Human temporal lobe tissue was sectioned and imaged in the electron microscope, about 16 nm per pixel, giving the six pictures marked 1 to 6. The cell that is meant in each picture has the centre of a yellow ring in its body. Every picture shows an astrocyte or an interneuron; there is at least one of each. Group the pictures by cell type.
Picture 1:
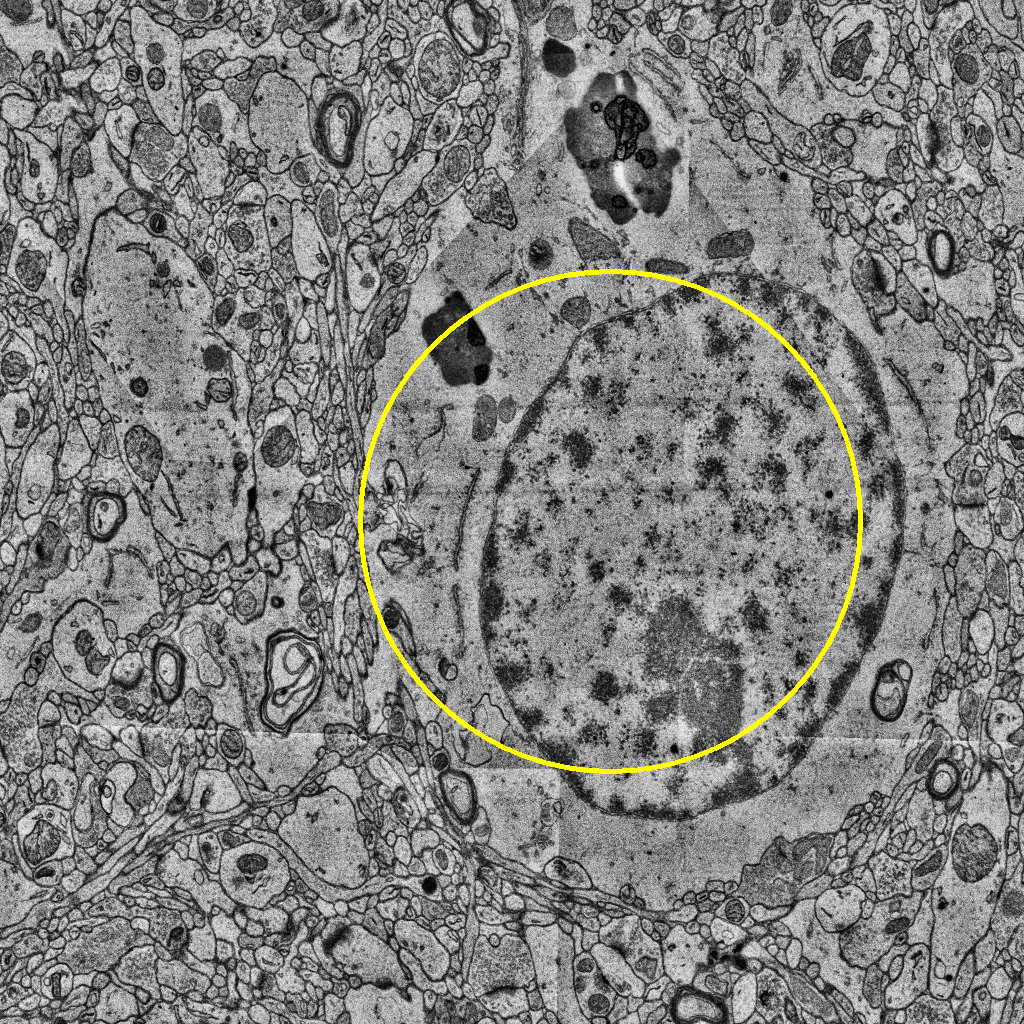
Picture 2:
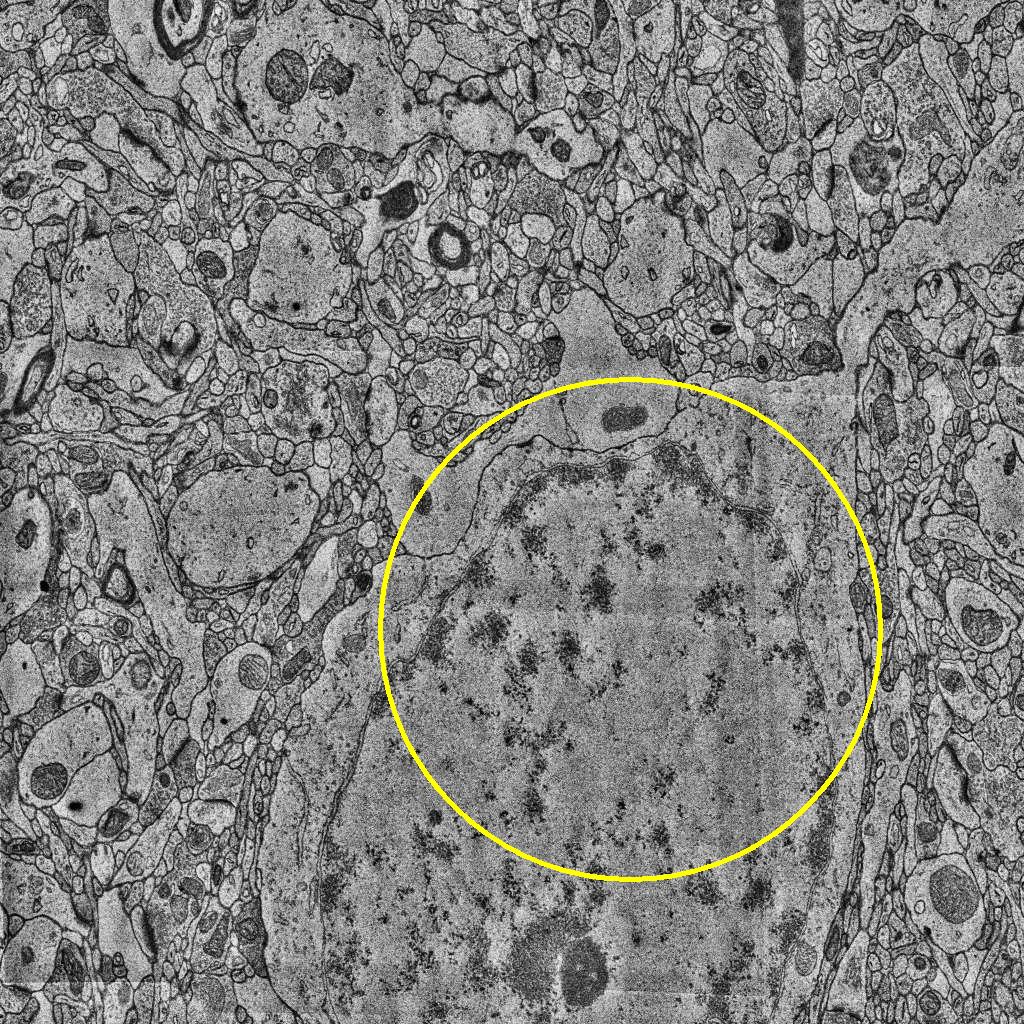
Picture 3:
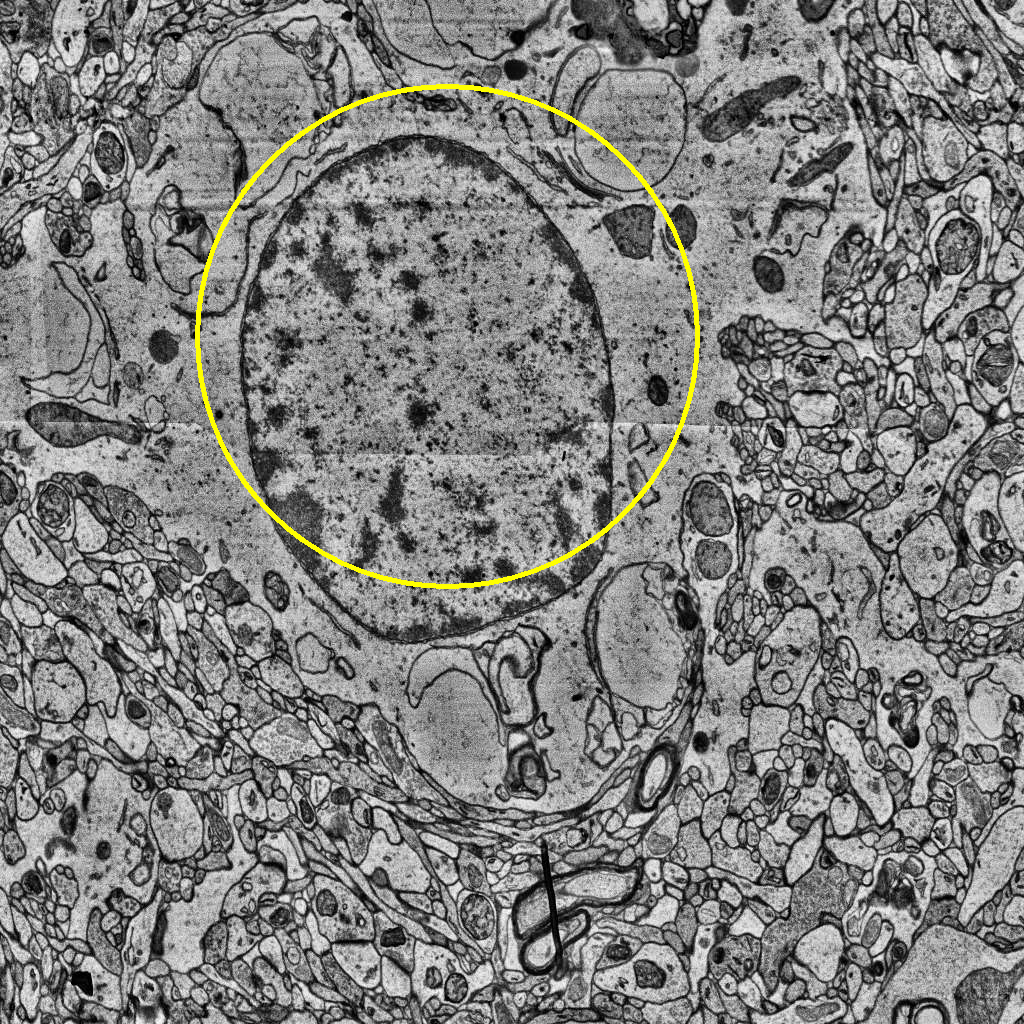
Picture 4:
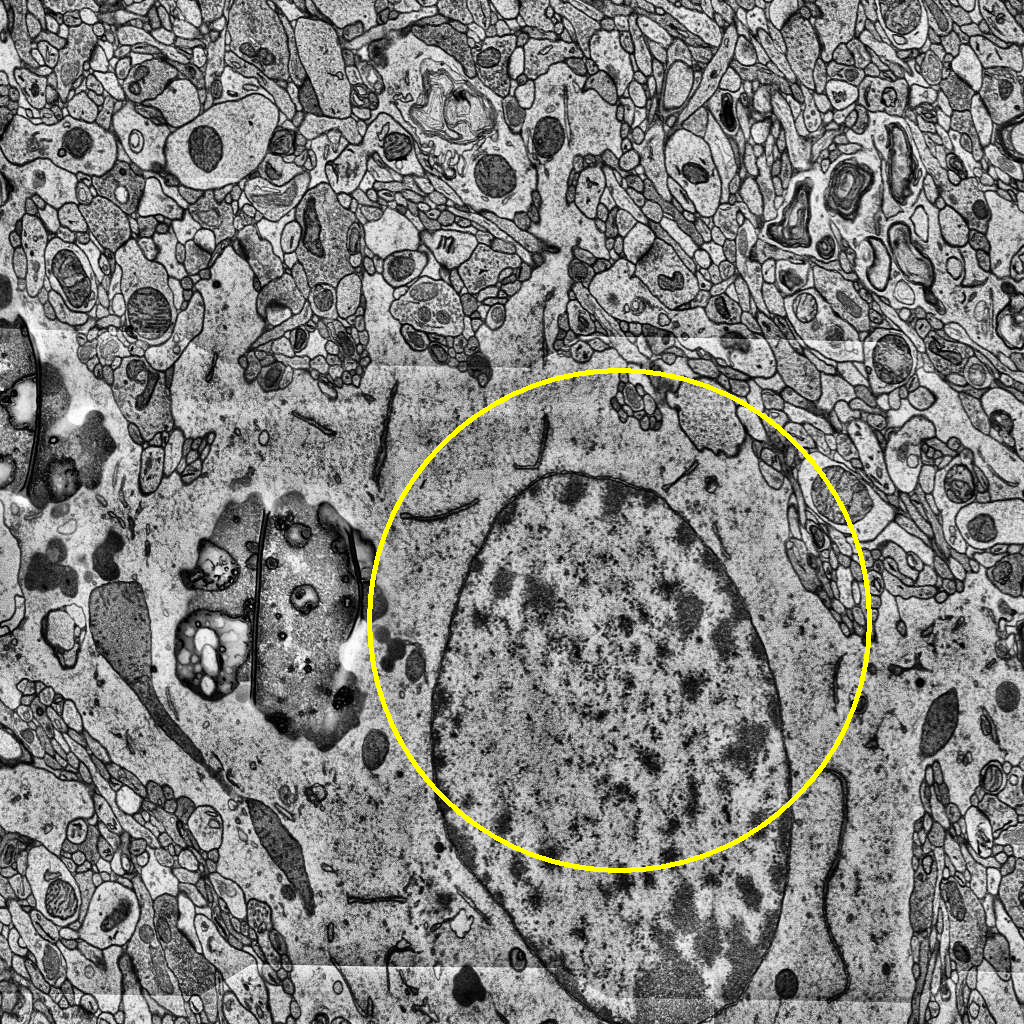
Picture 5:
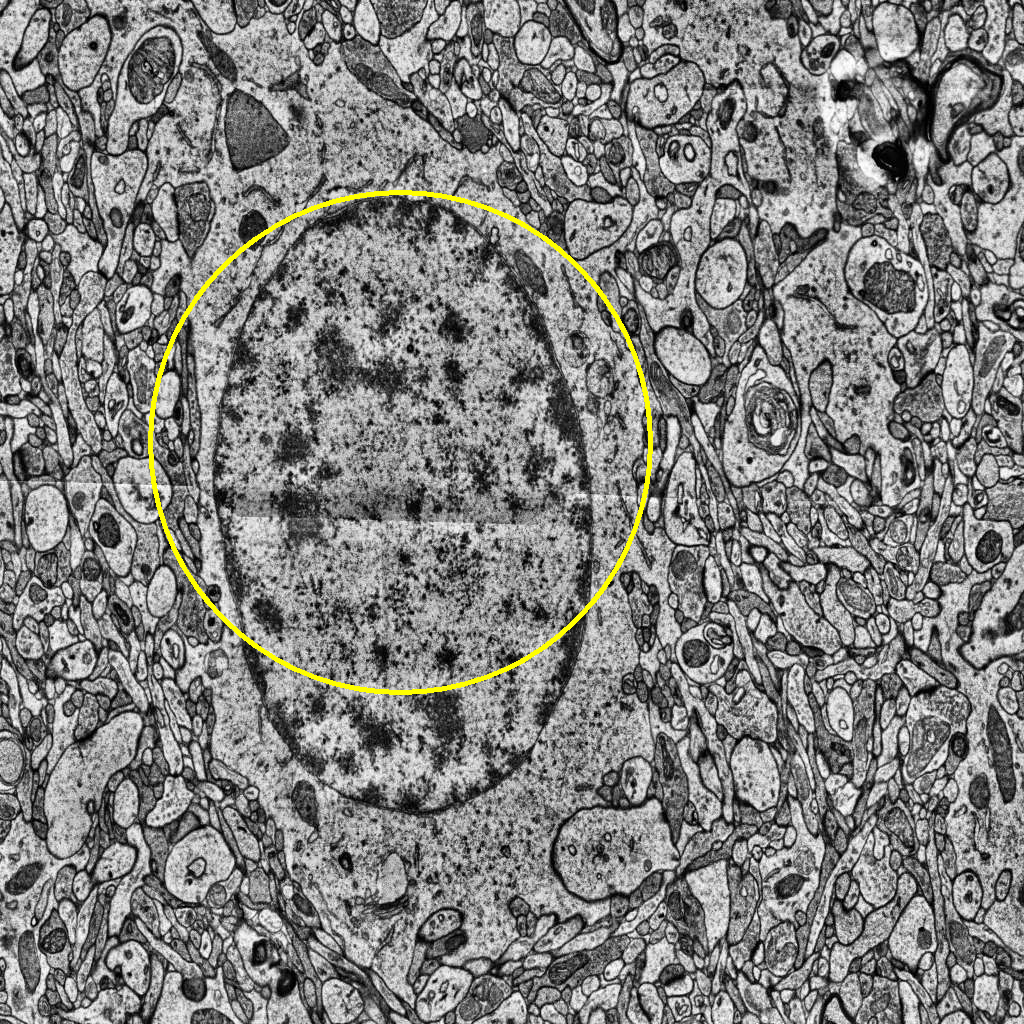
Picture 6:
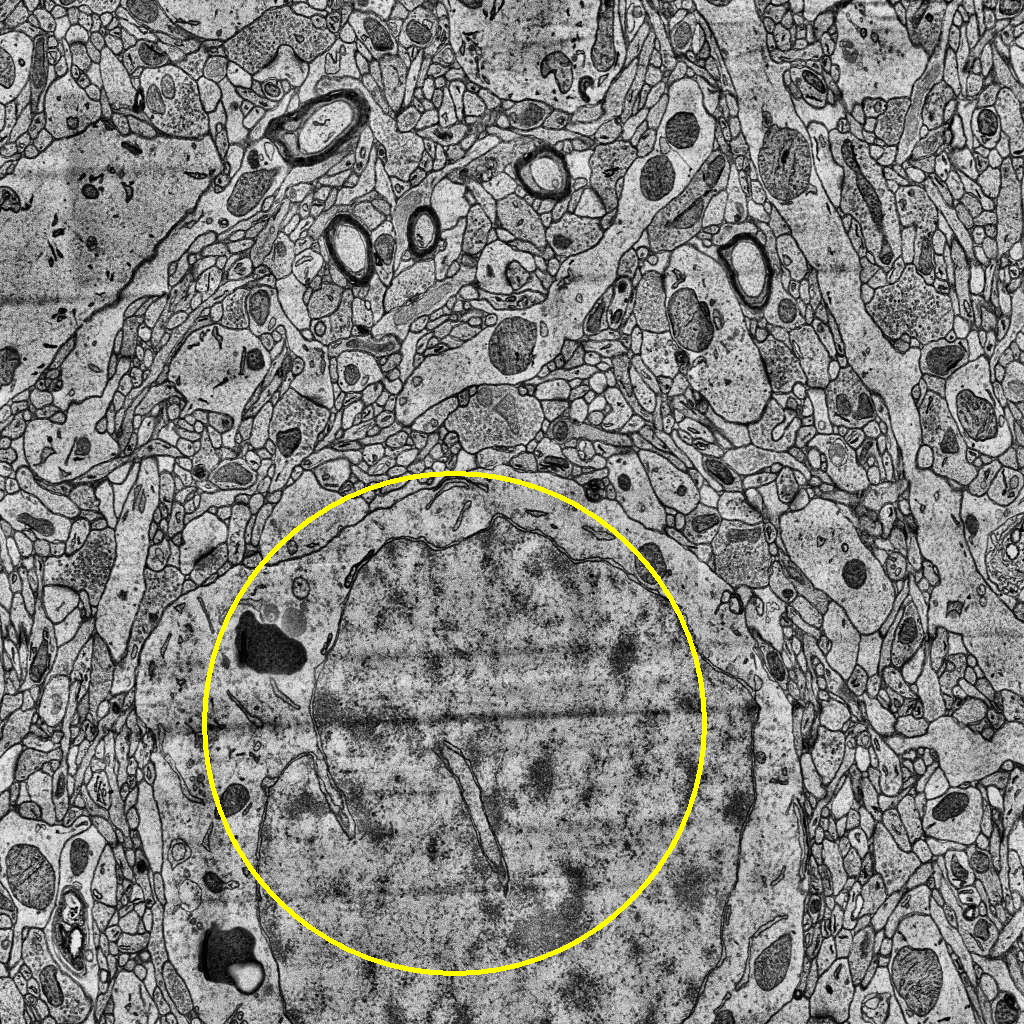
Pictures 1, 3, 4 and 5 show astrocytes, and pictures 2 and 6 show interneurons.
